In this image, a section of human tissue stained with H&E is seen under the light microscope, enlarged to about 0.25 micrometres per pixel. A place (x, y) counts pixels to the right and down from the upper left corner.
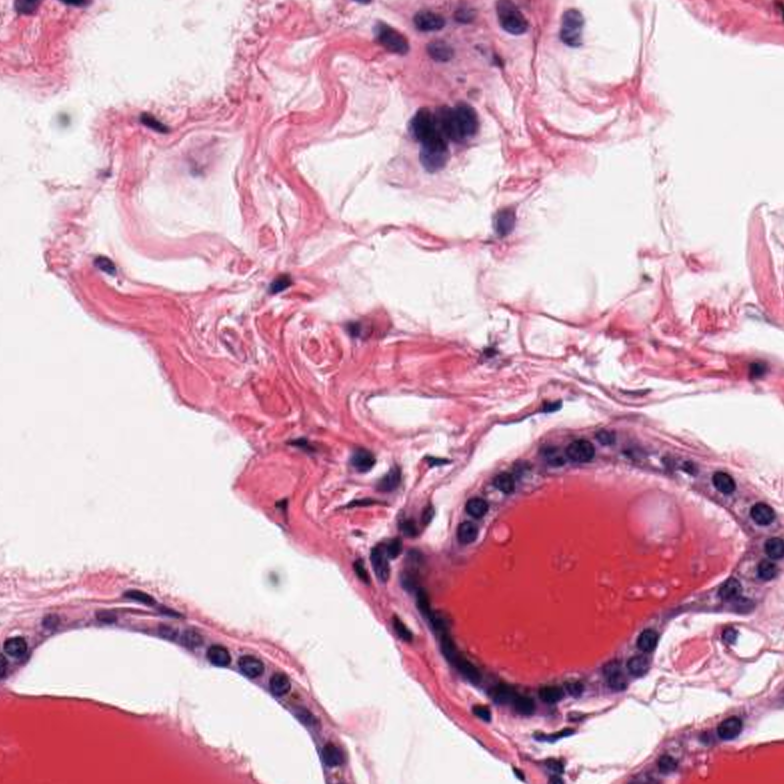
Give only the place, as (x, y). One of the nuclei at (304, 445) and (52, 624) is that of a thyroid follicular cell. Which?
(52, 624)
